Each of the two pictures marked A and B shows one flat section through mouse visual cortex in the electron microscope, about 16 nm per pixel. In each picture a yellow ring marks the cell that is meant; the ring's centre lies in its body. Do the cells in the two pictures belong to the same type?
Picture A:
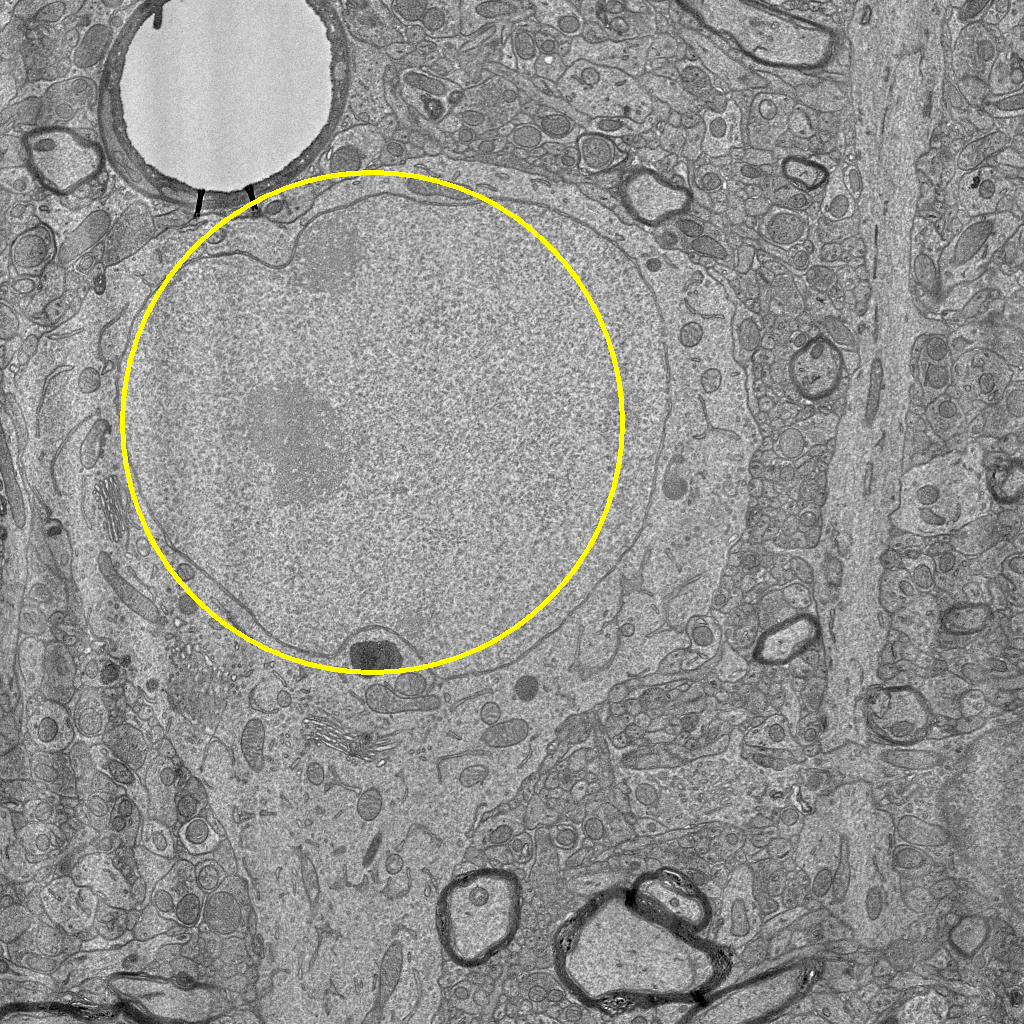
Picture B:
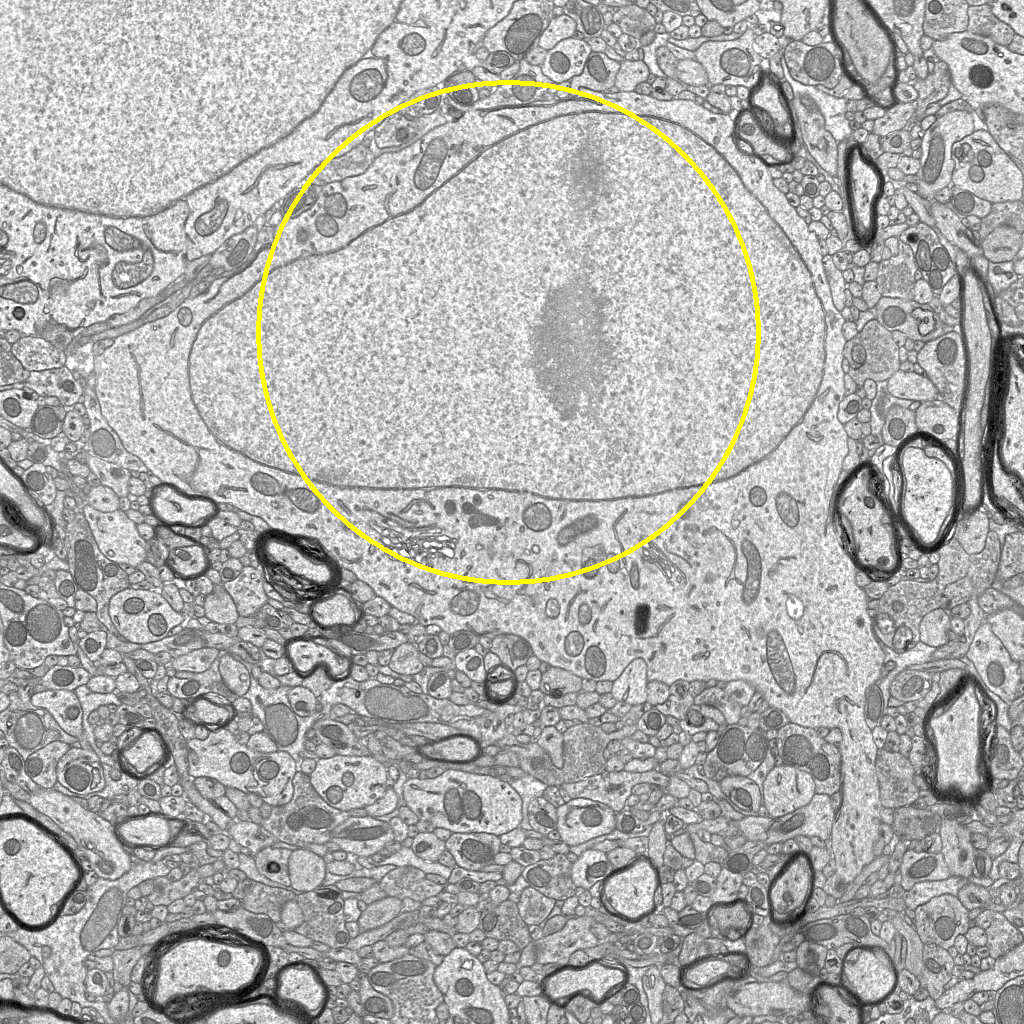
Yes; the cells in both pictures are excitatory neurons.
